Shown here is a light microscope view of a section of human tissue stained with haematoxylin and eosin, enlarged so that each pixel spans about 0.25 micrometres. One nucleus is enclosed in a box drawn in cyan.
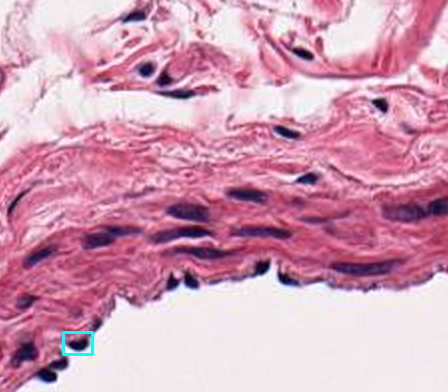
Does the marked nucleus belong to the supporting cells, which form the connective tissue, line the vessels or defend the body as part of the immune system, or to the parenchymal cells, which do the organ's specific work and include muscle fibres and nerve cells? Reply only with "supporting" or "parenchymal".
supporting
